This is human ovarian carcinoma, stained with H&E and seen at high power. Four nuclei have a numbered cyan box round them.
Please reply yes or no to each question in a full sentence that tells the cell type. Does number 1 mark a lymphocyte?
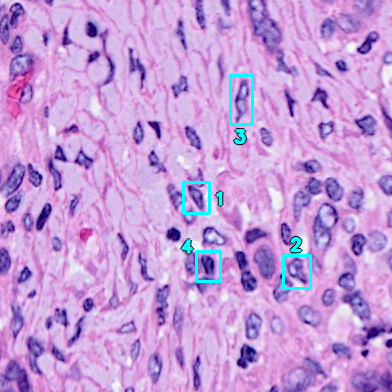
No, cell 1 is a fibroblast and should not be called a lymphocyte.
